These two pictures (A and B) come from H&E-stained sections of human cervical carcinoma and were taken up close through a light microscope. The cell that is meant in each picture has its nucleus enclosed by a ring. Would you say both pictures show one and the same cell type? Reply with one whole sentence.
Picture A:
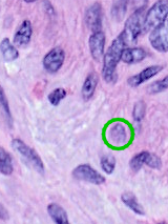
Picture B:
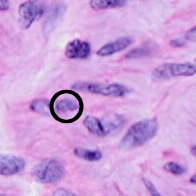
Yes, they are the same type: both are smooth muscle cells.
